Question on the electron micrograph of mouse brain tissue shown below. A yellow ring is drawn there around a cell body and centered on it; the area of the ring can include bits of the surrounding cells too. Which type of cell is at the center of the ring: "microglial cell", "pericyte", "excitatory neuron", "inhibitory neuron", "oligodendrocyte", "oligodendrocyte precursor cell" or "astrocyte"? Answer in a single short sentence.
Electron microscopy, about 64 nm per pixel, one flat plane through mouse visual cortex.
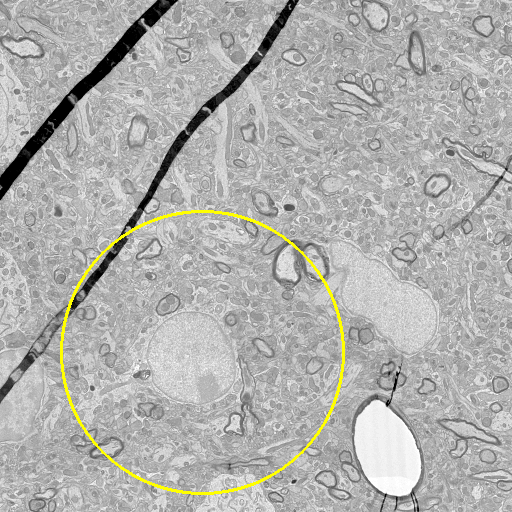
The ring is centered on an astrocyte.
